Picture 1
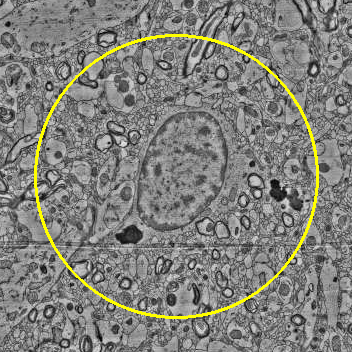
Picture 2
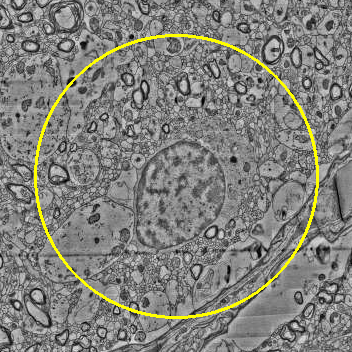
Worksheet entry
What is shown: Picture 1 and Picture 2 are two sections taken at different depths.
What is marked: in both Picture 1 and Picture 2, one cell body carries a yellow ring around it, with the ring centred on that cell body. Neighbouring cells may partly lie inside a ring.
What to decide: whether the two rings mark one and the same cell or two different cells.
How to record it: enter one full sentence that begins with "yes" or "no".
No, the two rings do not mark one cell; they mark two different cells.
